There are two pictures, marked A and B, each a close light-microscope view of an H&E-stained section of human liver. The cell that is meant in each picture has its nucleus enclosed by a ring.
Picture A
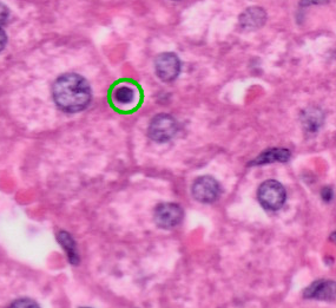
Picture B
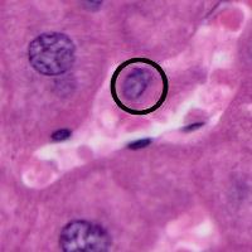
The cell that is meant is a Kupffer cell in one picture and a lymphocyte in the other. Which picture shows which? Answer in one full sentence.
It is picture A that shows a lymphocyte, and picture B that shows a Kupffer cell.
